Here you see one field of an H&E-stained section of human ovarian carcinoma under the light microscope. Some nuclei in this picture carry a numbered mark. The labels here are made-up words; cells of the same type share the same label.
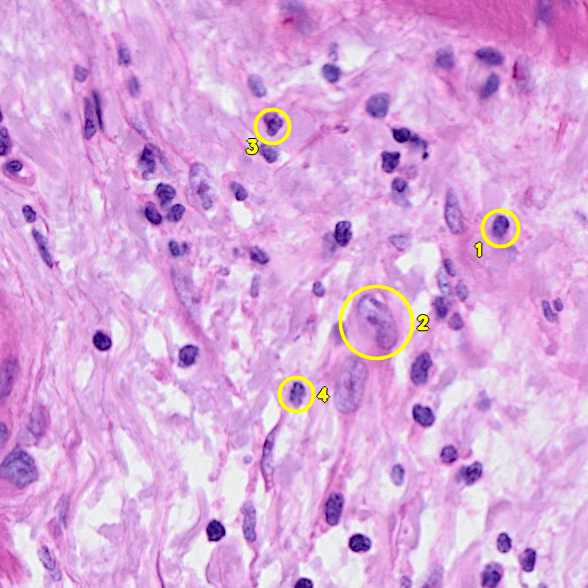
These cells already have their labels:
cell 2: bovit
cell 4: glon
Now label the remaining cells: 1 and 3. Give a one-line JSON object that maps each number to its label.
{"1": "glon", "3": "glon"}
